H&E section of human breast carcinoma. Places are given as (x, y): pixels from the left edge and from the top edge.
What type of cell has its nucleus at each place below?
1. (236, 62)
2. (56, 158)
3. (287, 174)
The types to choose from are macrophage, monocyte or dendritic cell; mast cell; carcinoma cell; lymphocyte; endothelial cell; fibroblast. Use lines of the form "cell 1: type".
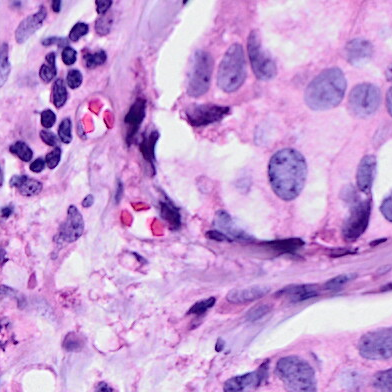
cell 1: carcinoma cell
cell 2: lymphocyte
cell 3: carcinoma cell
